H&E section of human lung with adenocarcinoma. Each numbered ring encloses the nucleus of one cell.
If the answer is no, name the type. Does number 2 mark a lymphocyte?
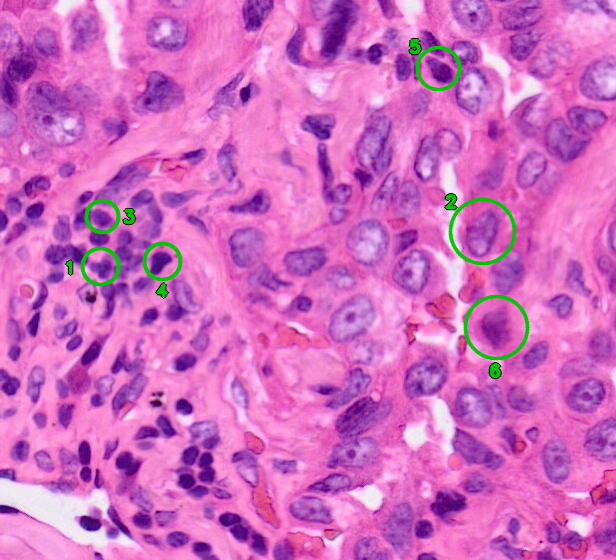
No, it is a carcinoma cell.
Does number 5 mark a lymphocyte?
No, it is a carcinoma cell.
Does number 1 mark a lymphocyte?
Yes.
